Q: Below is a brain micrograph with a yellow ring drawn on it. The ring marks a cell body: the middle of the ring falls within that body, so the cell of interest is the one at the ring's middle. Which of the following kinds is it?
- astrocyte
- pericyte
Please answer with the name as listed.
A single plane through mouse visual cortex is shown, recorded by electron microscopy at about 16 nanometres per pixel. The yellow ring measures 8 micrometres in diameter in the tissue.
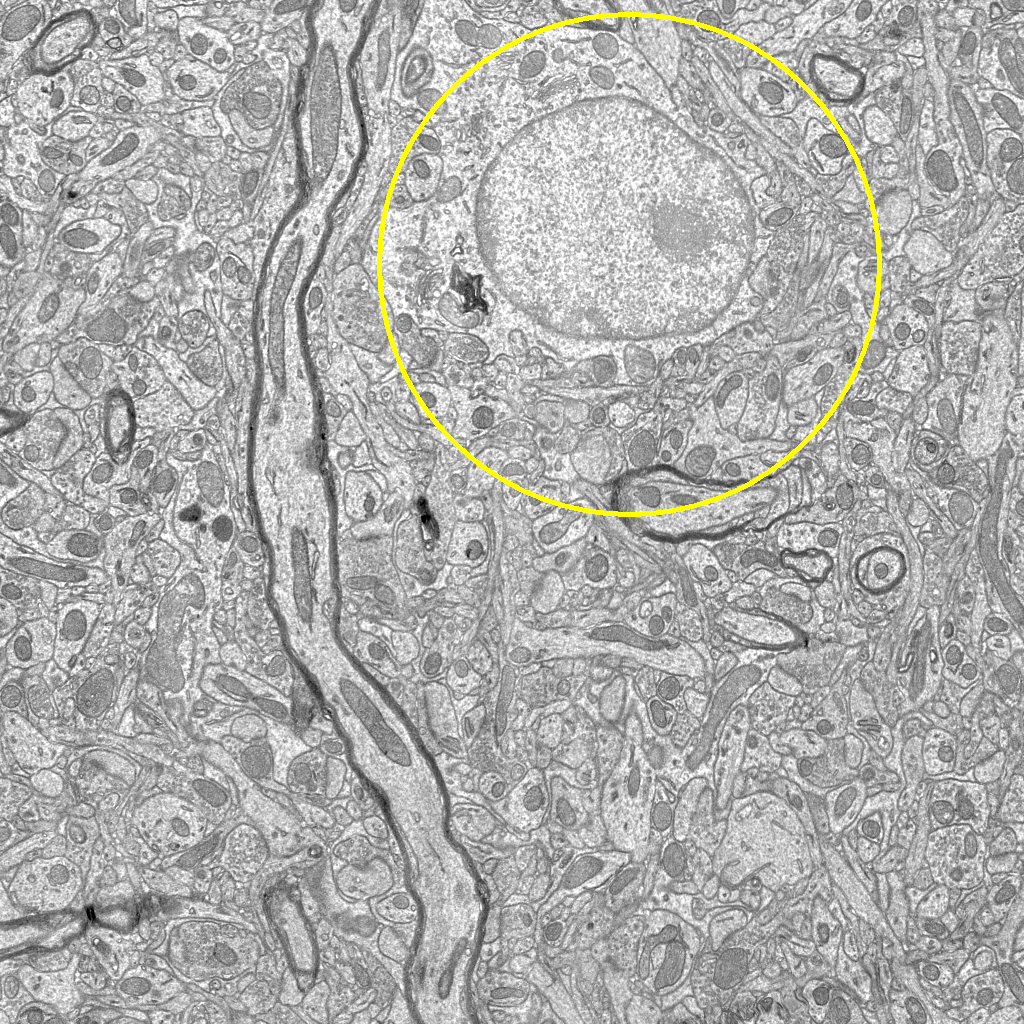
astrocyte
